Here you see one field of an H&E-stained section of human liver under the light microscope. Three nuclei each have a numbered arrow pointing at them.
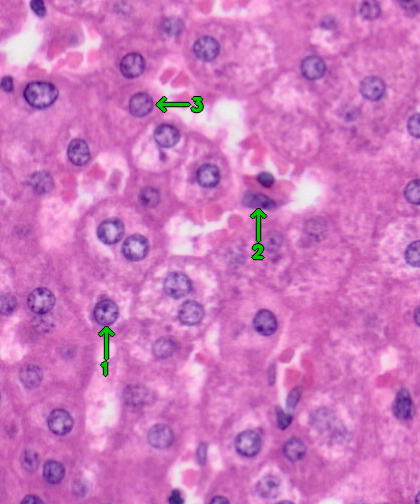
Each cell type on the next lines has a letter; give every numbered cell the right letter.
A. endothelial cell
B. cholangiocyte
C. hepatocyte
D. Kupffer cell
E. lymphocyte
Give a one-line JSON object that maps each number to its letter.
{"1": "C", "2": "D", "3": "C"}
